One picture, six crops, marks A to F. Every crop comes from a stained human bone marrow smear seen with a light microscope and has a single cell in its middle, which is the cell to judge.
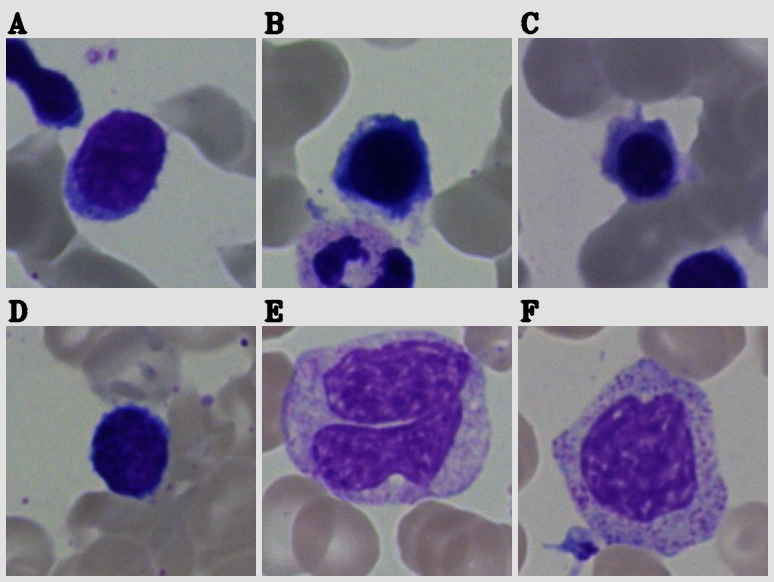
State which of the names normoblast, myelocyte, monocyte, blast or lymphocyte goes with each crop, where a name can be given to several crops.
A: lymphocyte
B: normoblast
C: normoblast
D: lymphocyte
E: monocyte
F: myelocyte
